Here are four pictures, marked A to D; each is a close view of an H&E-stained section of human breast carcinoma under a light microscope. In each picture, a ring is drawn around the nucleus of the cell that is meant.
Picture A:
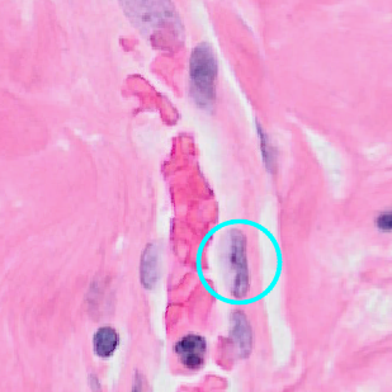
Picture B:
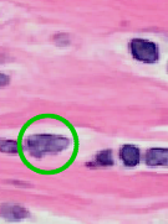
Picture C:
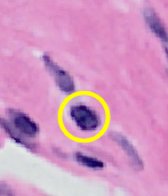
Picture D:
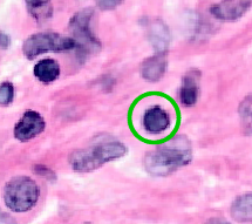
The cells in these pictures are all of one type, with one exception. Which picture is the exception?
A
